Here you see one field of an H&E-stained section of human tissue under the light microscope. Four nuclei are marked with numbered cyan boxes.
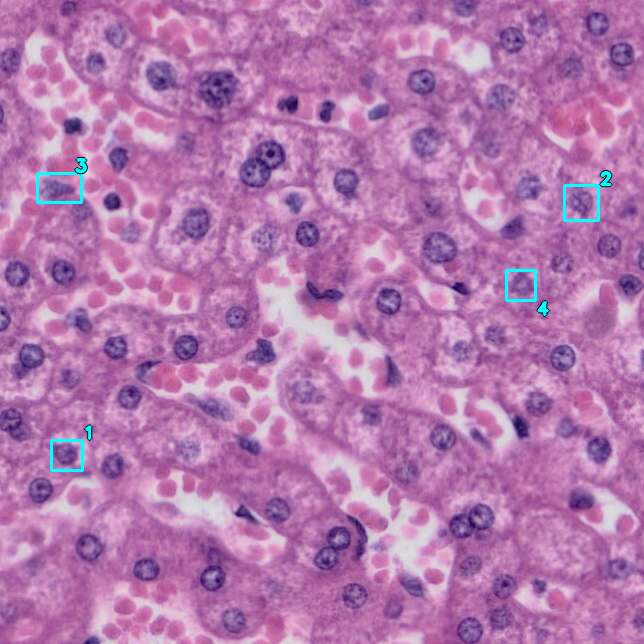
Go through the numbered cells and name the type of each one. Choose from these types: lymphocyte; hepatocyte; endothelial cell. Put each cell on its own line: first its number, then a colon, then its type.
1: hepatocyte
2: hepatocyte
3: endothelial cell
4: hepatocyte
